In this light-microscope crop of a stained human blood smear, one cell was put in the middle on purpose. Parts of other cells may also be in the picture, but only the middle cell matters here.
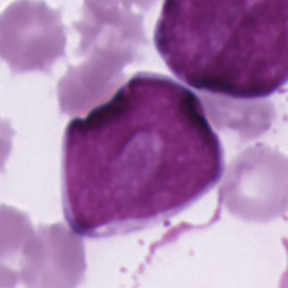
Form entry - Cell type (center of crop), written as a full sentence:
The centrally placed cell is classified as a blast.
